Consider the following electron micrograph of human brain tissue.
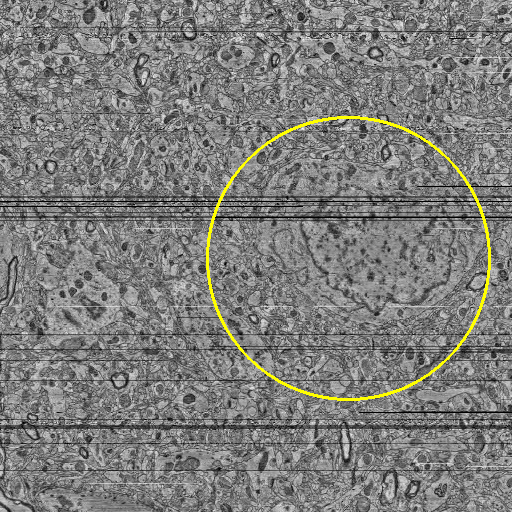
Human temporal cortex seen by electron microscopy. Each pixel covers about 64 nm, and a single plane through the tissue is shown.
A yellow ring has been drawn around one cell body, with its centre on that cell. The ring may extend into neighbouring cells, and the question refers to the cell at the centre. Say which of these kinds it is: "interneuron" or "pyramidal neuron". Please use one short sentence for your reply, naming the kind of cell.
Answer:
The centre of the ring falls on an interneuron.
